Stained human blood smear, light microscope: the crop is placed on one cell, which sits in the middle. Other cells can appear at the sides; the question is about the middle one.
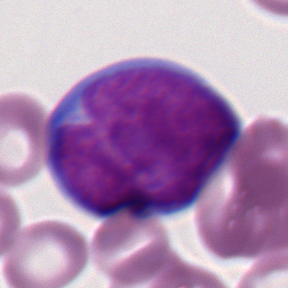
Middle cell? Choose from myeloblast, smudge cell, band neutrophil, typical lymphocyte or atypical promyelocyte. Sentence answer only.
By type, the central cell of the crop is a myeloblast.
